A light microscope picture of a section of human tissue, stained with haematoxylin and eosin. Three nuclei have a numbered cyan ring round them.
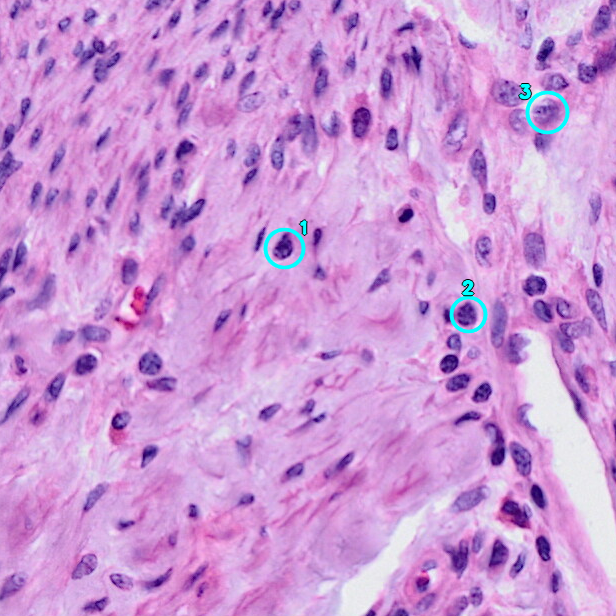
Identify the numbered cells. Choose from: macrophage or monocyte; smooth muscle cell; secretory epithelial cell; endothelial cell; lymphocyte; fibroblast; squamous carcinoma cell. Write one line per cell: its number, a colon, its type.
1: lymphocyte
2: lymphocyte
3: endothelial cell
